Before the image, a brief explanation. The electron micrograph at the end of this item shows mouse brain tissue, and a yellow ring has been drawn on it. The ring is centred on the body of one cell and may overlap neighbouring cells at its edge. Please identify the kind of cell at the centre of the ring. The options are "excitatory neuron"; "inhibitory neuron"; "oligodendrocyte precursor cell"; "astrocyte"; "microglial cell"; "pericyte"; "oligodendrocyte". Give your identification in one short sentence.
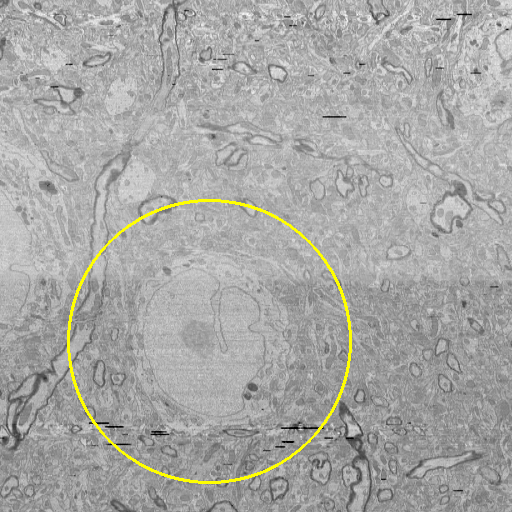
The ring has been placed around an excitatory neuron.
